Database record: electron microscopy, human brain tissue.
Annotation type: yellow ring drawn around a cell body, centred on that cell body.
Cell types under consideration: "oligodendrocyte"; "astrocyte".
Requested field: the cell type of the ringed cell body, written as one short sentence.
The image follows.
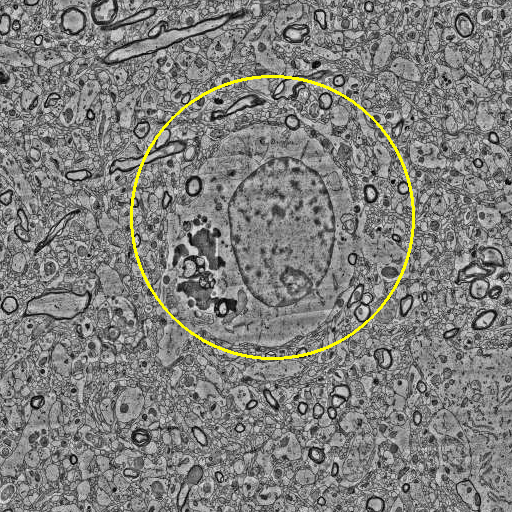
The ringed cell body represents an astrocyte.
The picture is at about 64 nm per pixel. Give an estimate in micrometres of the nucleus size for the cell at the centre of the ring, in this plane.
In this plane the nucleus measures roughly 10 by 7 micrometers.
